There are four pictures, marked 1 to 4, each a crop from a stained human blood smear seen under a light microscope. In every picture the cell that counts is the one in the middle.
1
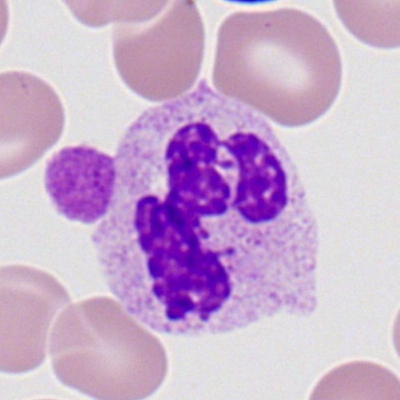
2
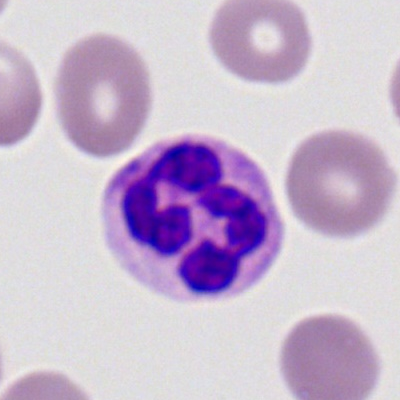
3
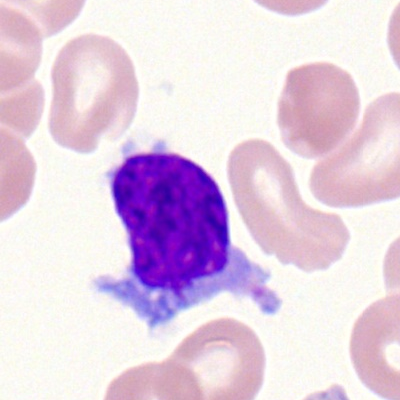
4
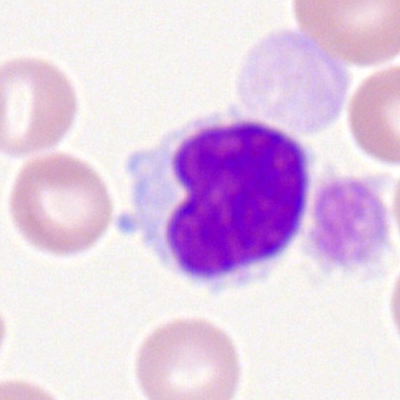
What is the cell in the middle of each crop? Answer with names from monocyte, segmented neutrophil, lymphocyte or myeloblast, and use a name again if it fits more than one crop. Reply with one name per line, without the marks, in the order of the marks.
segmented neutrophil
segmented neutrophil
lymphocyte
lymphocyte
